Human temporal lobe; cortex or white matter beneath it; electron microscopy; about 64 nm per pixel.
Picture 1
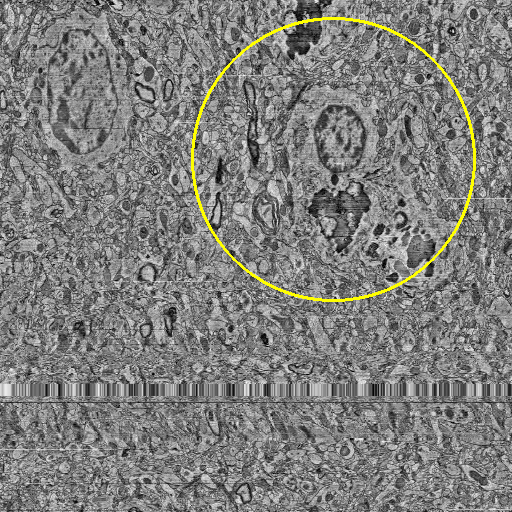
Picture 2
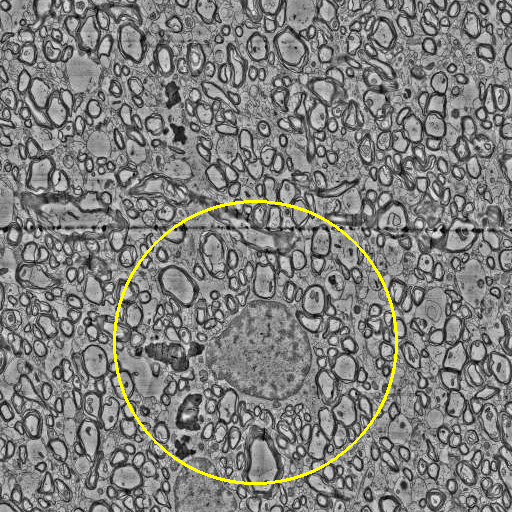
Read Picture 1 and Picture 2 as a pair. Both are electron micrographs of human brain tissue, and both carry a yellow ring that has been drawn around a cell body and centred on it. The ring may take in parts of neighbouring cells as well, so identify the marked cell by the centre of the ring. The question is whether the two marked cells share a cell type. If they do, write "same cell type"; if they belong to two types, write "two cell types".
two cell types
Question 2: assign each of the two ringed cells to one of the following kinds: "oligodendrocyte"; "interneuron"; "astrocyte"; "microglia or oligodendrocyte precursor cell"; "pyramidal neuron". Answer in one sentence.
The two cells are an astrocyte in the first picture and an oligodendrocyte in the second.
